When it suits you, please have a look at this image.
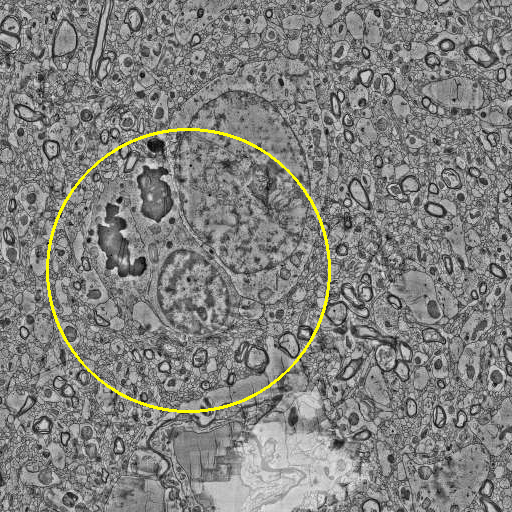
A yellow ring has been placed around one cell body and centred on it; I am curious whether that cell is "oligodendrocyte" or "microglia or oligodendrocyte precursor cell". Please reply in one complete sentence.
The ringed cell, an oligodendrocyte, has its body at the centre of the yellow ring.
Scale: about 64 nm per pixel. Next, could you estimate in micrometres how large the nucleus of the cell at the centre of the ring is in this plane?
Approximately 6 by 4 micrometers in this plane.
